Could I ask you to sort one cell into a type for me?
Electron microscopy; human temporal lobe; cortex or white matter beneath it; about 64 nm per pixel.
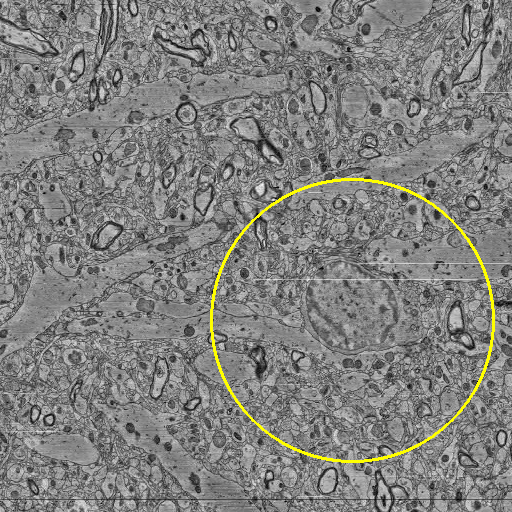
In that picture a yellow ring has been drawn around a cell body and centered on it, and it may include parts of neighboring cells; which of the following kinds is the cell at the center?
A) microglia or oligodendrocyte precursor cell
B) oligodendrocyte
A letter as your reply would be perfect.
B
